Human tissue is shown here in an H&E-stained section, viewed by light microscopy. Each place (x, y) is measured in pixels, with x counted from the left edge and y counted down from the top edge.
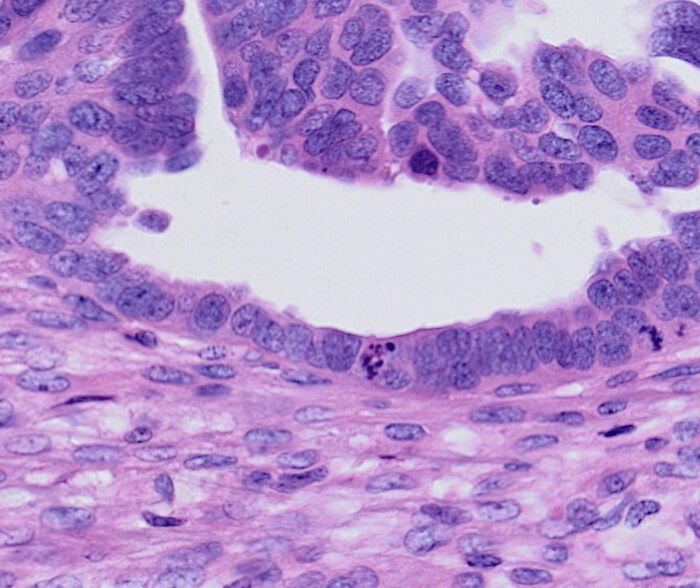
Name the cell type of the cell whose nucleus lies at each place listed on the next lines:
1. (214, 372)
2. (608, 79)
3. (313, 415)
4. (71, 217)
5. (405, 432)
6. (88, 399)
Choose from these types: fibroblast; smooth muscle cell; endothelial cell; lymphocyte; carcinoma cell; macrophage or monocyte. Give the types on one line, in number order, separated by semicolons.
fibroblast; carcinoma cell; fibroblast; carcinoma cell; fibroblast; fibroblast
